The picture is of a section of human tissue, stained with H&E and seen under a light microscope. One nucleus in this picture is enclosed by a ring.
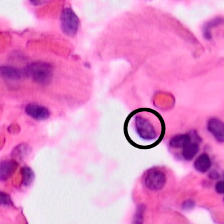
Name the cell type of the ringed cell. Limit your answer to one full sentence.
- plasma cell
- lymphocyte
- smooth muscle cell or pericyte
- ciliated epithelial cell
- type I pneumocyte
Students should answer that the ringed cell is a type I pneumocyte.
